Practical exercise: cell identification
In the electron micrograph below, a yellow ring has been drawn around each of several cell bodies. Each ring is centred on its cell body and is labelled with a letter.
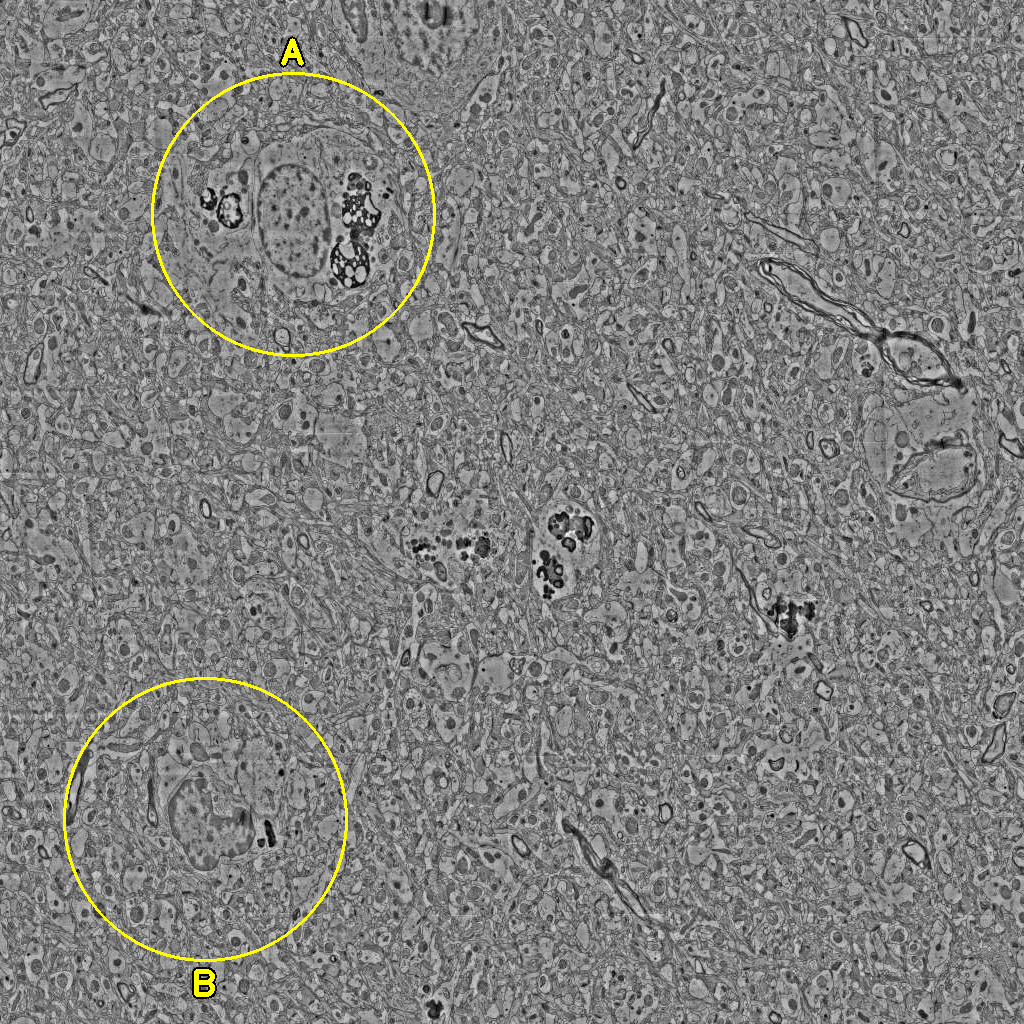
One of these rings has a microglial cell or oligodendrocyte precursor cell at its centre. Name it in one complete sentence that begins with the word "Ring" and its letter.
Ring B has that cell at its centre.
